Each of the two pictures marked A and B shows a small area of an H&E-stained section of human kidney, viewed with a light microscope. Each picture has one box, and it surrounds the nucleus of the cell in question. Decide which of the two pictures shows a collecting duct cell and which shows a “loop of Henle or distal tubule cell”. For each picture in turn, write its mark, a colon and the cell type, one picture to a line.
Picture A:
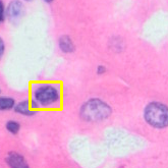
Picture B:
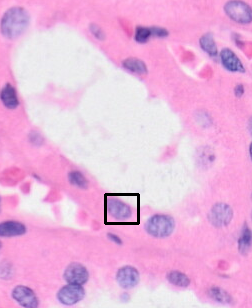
A: collecting duct cell
B: loop of Henle or distal tubule cell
